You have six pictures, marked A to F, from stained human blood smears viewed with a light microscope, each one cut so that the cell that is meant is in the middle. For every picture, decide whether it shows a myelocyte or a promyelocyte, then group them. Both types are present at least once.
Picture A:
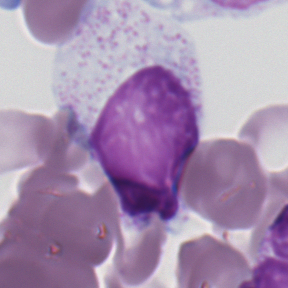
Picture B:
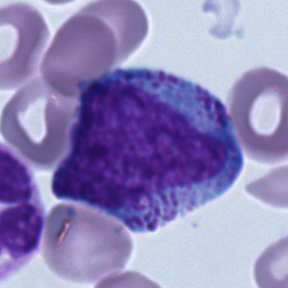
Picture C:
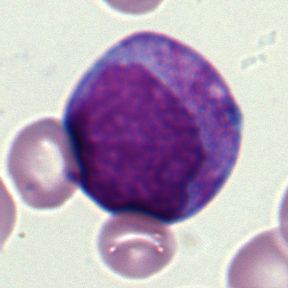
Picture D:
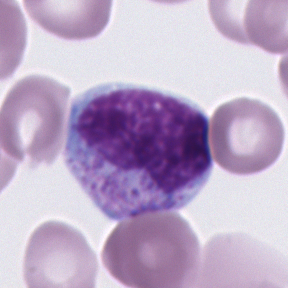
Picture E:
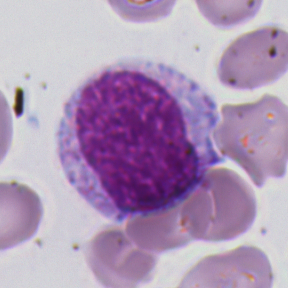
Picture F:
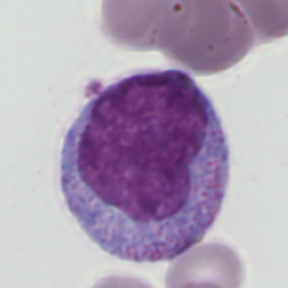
A: myelocyte
B: promyelocyte
C: promyelocyte
D: myelocyte
E: myelocyte
F: promyelocyte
